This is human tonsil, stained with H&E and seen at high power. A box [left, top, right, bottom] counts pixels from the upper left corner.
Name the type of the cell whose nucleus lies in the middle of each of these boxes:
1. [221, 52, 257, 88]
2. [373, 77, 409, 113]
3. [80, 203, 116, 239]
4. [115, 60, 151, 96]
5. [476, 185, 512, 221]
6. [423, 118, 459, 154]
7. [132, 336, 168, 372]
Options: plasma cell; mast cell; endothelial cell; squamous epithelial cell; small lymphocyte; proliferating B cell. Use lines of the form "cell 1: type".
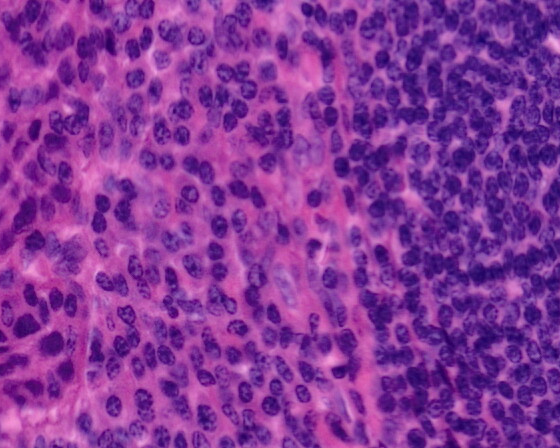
cell 1: plasma cell
cell 2: small lymphocyte
cell 3: plasma cell
cell 4: plasma cell
cell 5: small lymphocyte
cell 6: small lymphocyte
cell 7: plasma cell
